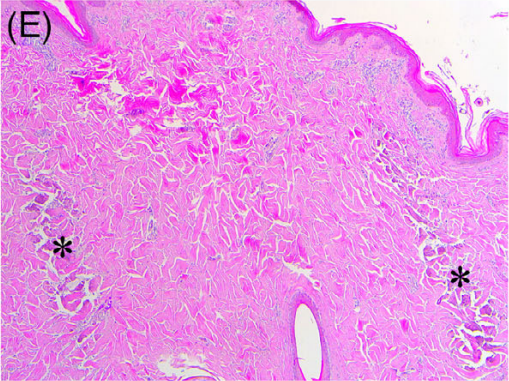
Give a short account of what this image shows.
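Skin at low power with a thin pink epidermis along the top and a broad dermis of dense pink collagen bundles beneath. In the dermis, on both sides of the field, are zones where the collagen is loosened and fragmented, separated by clefts, and carries a bluish-grey tinge. Beneath the epidermis in the upper centre, some collagen bundles are clumped and stain a brighter, deeper pink than the rest. Elsewhere the collagen forms interwoven bundles with scattered small nuclei.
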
